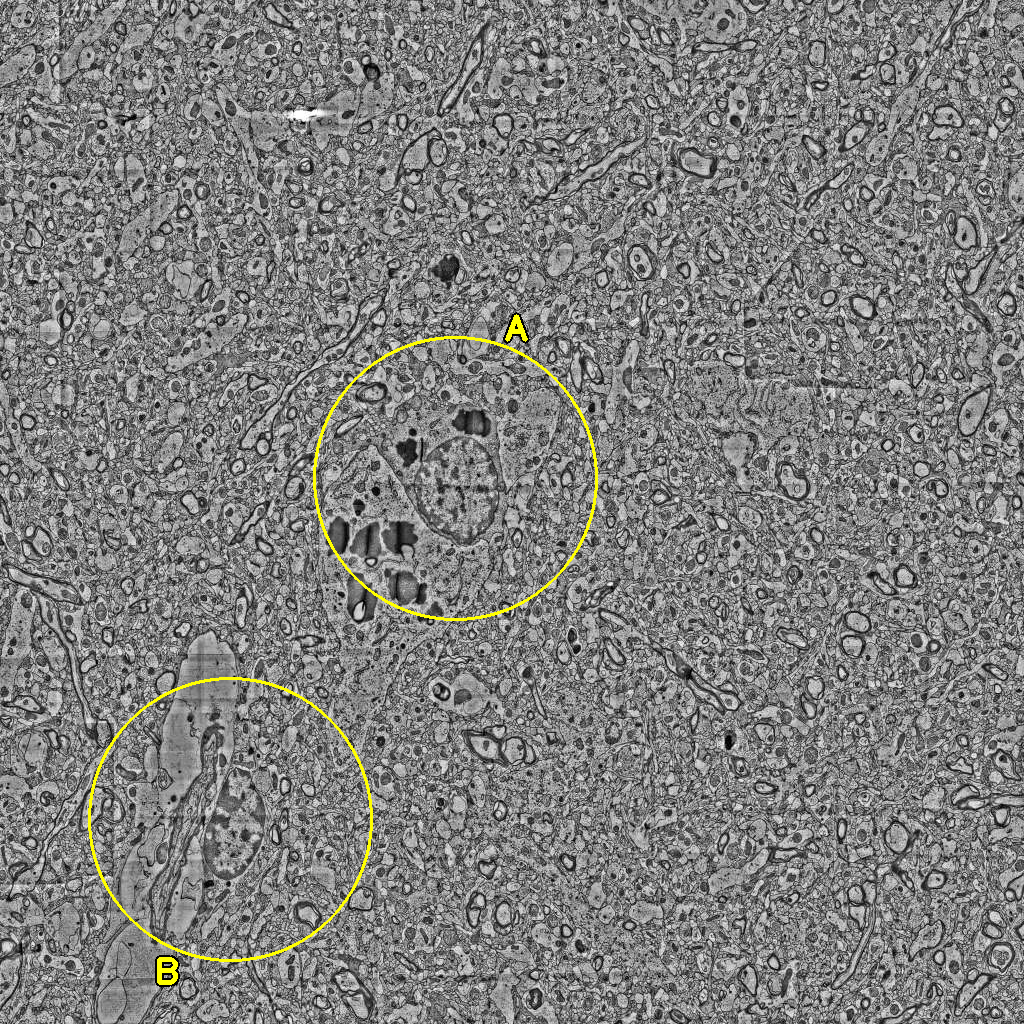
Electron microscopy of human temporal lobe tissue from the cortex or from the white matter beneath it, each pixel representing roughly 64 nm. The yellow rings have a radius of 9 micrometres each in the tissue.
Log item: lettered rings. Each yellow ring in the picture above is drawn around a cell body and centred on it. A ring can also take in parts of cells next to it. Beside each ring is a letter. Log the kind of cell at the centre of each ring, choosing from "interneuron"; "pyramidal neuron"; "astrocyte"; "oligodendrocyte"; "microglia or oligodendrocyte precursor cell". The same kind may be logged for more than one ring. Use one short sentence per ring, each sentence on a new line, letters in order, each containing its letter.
Within ring A, the centre is taken by an oligodendrocyte.
Within ring B, the centre is taken by a microglial cell or oligodendrocyte precursor cell.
